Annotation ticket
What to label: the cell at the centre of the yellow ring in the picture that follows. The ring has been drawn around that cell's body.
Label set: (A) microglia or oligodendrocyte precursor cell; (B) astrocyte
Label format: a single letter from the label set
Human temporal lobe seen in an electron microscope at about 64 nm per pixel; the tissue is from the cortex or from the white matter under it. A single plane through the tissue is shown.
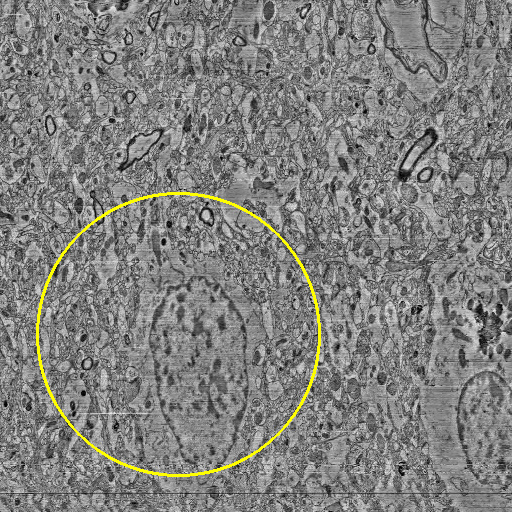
B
